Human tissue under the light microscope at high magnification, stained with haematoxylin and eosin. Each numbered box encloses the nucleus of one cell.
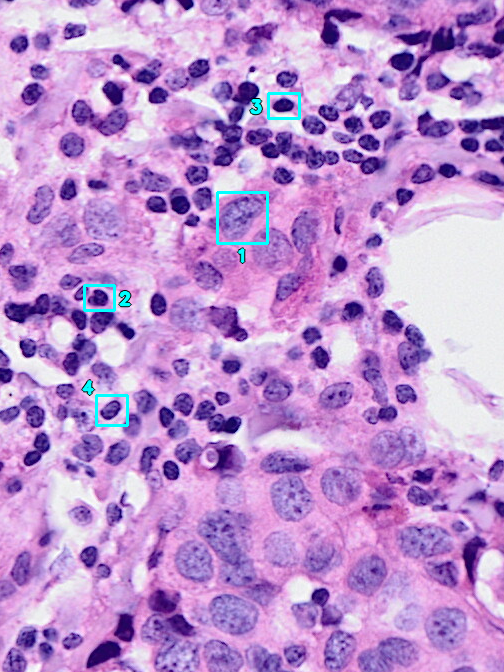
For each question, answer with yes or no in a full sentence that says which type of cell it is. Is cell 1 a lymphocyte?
No, the one with number 1 is a carcinoma cell, not a lymphocyte.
